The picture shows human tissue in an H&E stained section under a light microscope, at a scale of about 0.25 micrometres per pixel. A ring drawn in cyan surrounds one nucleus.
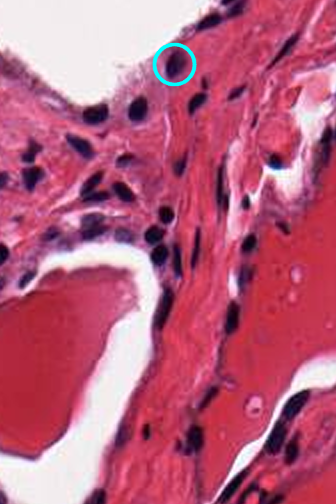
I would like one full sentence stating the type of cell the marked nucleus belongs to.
What the marked nucleus belongs to is a thyroid follicular cell.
